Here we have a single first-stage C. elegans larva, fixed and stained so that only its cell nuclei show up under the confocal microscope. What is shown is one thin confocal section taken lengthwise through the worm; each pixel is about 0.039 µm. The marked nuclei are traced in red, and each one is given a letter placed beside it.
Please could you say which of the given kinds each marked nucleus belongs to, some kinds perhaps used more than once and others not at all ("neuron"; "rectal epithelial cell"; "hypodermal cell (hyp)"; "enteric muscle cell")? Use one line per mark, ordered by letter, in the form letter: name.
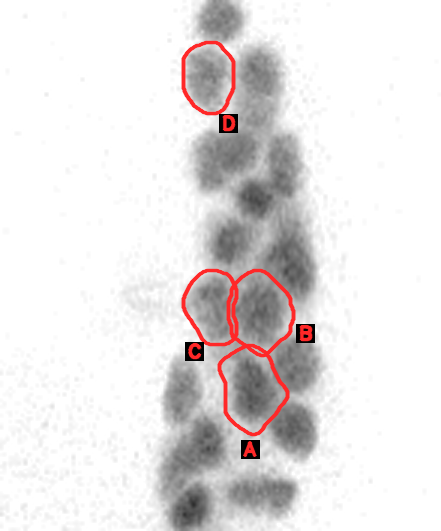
A: rectal epithelial cell
B: neuron
C: rectal epithelial cell
D: hypodermal cell (hyp)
